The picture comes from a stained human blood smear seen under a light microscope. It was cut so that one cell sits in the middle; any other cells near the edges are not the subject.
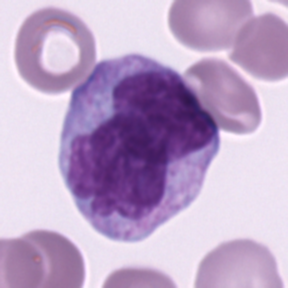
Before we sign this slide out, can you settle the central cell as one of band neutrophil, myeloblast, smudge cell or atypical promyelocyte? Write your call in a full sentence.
By classification, the middle cell of this crop is an atypical promyelocyte.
